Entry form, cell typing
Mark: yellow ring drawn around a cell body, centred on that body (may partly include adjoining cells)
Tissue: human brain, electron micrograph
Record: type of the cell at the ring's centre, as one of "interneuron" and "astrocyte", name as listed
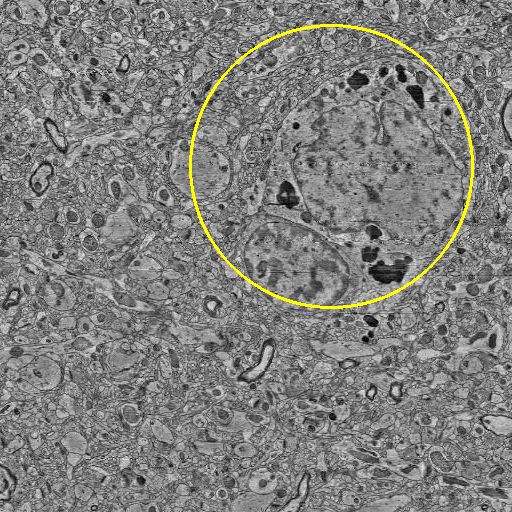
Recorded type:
interneuron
